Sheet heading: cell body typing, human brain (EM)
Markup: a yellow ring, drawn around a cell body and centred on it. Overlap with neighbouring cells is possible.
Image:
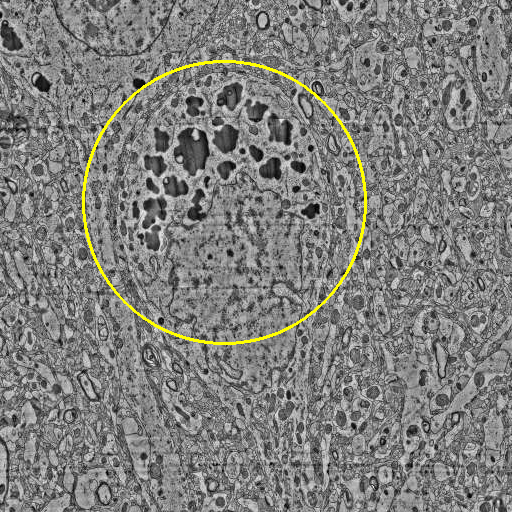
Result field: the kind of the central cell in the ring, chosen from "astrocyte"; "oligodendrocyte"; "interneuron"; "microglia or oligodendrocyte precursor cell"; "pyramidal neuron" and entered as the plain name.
interneuron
